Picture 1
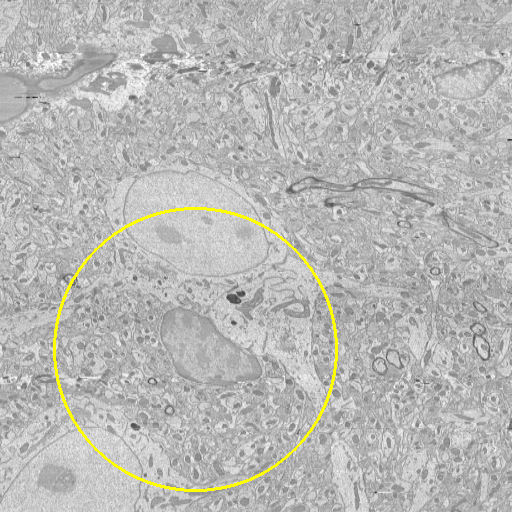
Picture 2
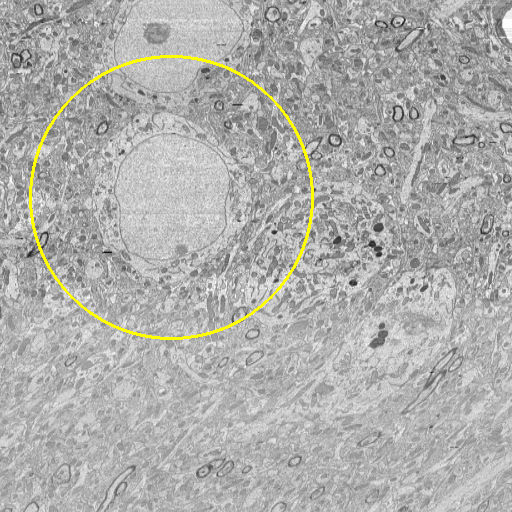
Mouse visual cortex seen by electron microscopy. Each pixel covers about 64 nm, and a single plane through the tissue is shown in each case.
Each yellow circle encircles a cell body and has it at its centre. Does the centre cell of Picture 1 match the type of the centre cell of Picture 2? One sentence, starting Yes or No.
No, the cell centred in Picture 1 and the one in Picture 2 have separate types.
